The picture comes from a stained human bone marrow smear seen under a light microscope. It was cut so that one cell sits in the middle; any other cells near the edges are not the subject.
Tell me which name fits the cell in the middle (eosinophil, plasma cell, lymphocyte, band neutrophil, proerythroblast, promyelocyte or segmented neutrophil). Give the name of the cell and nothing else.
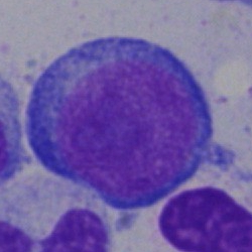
proerythroblast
